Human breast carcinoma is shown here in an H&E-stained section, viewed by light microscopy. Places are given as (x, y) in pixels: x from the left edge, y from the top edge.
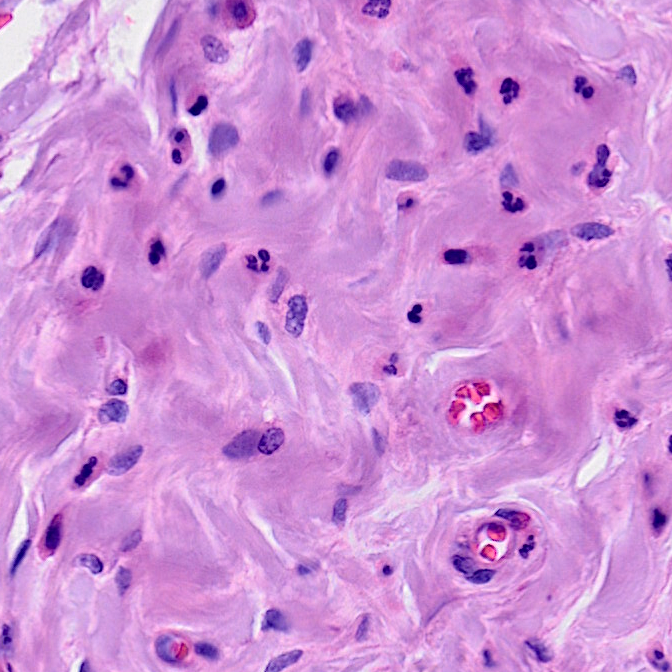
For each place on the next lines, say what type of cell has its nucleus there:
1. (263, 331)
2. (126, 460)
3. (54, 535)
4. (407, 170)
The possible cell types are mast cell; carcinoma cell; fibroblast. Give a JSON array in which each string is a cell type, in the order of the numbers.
["fibroblast", "fibroblast", "mast cell", "fibroblast"]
